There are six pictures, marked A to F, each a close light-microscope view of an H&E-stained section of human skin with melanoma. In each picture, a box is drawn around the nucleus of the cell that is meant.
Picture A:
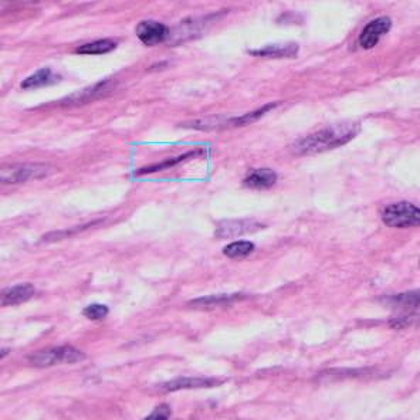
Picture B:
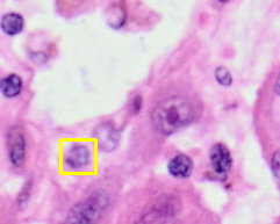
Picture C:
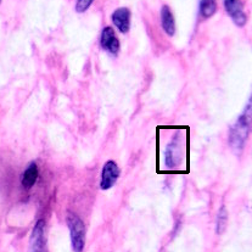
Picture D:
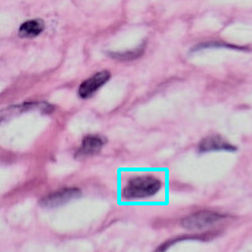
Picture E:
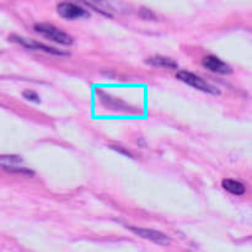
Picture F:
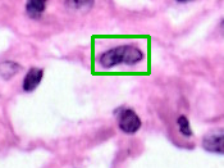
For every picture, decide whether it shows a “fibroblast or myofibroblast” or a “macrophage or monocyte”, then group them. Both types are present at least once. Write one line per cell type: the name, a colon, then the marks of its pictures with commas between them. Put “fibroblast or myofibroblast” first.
fibroblast or myofibroblast: A, C, E
macrophage or monocyte: B, D, F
